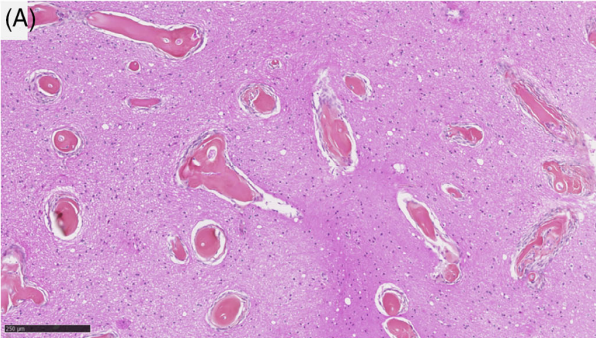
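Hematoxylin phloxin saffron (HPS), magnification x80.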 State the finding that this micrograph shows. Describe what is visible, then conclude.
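Fibrous spread along the Virchow‐Robin spaces. Many vessels scattered through pale brain parenchyma. Each vessel is surrounded by a cuff of pink fibrous tissue. The cuffs contain few nuclei.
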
